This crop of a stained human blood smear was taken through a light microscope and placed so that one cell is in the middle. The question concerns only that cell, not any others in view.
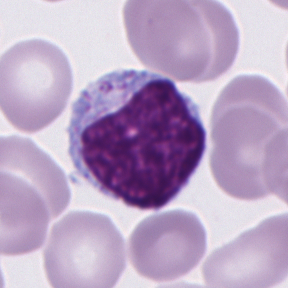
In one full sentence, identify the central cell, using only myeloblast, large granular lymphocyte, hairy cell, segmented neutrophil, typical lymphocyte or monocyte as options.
The cell of interest, located centrally, is a large granular lymphocyte.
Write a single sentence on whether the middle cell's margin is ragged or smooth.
The cytoplasmic margin is uneven, whether through ragged segments or through projections.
